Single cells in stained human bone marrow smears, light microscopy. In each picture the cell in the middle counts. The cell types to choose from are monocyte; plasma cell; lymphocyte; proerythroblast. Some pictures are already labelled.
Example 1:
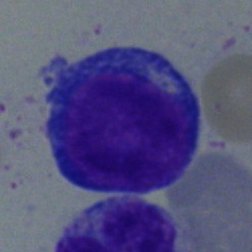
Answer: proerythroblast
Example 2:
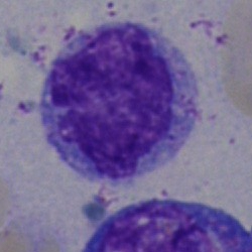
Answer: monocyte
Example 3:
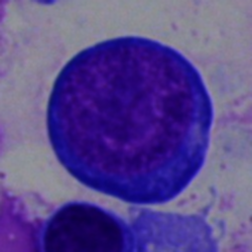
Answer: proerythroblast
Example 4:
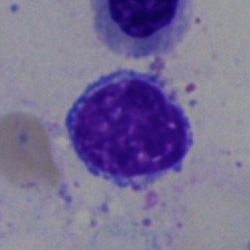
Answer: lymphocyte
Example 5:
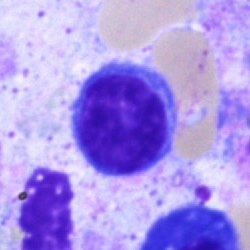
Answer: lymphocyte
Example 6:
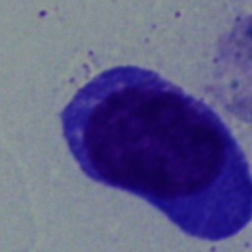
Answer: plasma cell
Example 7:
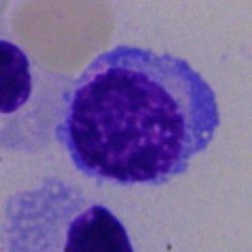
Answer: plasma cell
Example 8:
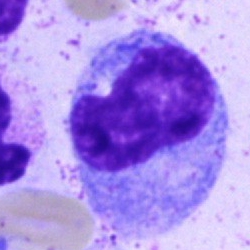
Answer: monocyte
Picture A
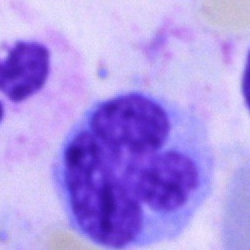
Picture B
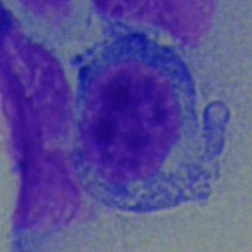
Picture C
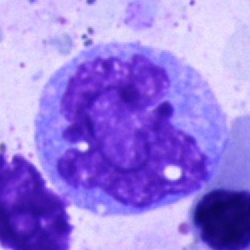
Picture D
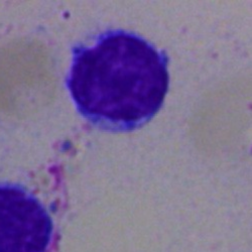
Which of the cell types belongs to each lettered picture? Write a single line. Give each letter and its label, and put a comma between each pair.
A monocyte, B lymphocyte, C monocyte, D lymphocyte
